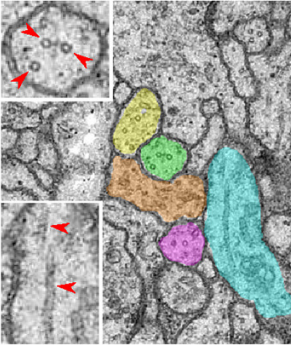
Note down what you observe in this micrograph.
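Electron micrograph of neuropil in which several neural processes in cross-section are shaded yellow, green, orange, magenta and cyan. The shaded processes lie side by side among many unshaded profiles bounded by dark membranes, and the largest, cyan one is elongated with lengthwise striations.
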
